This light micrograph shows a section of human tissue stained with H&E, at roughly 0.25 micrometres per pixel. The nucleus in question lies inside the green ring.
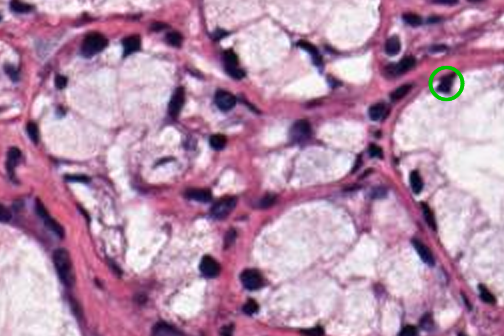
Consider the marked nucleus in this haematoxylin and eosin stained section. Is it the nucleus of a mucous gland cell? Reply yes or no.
yes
